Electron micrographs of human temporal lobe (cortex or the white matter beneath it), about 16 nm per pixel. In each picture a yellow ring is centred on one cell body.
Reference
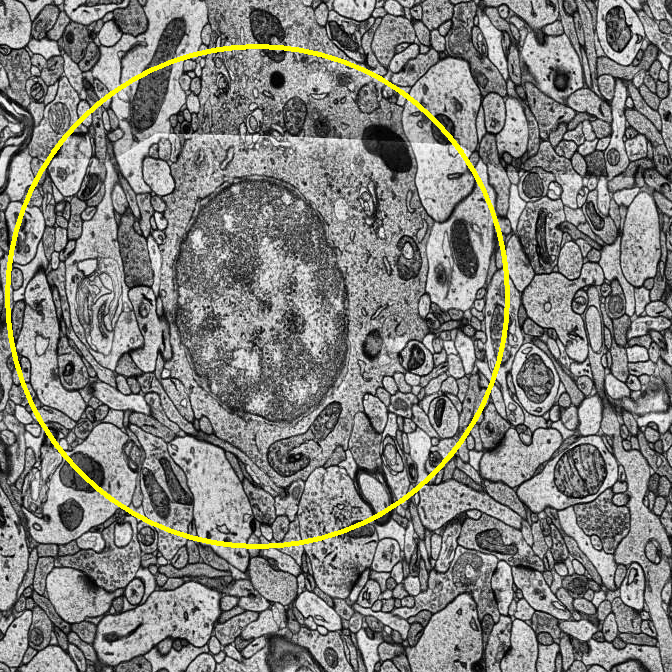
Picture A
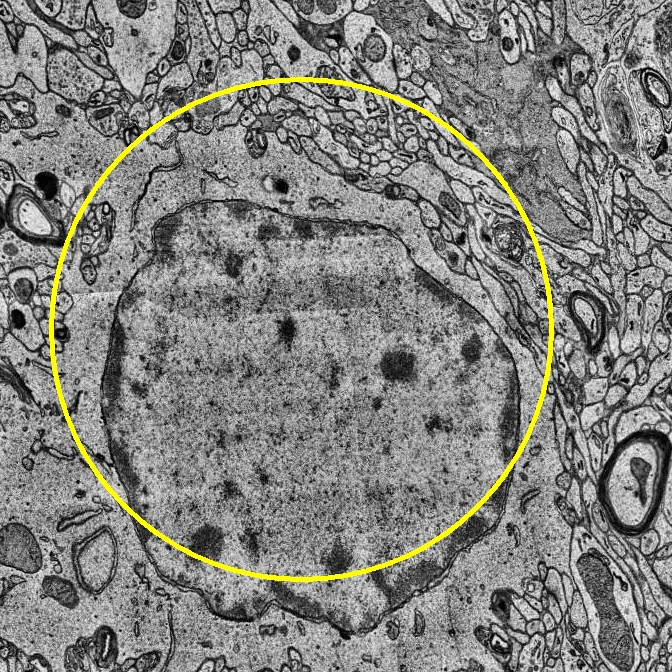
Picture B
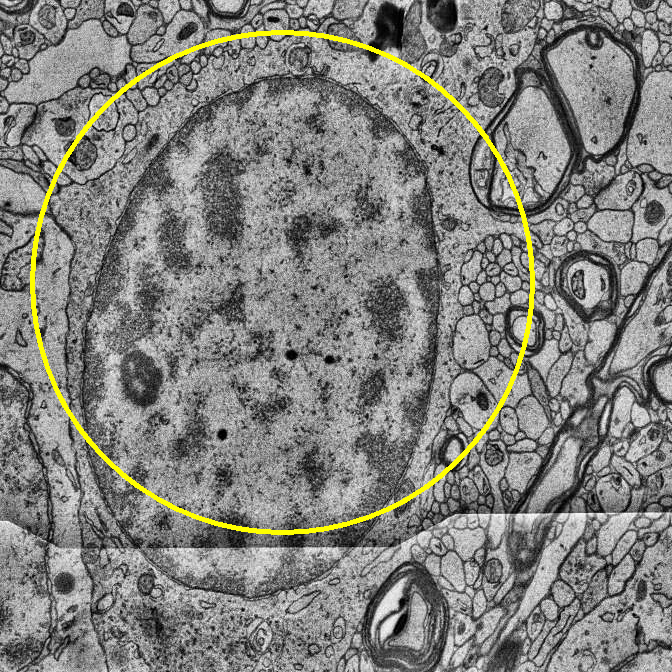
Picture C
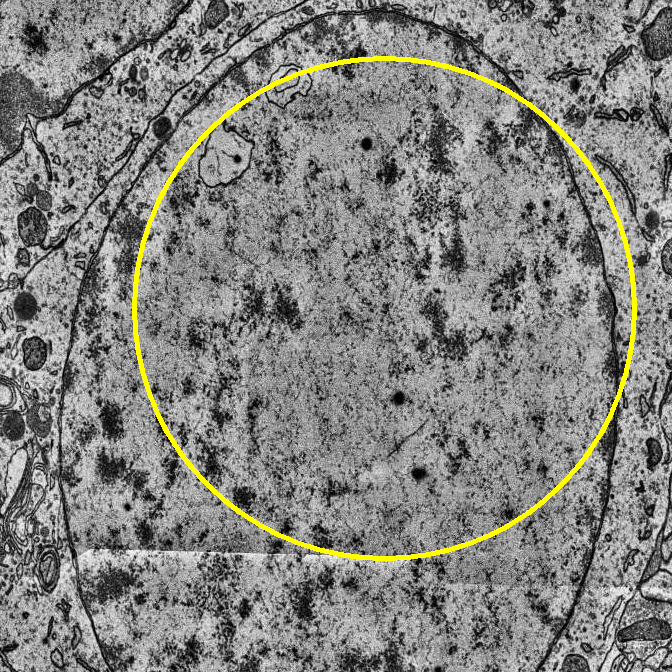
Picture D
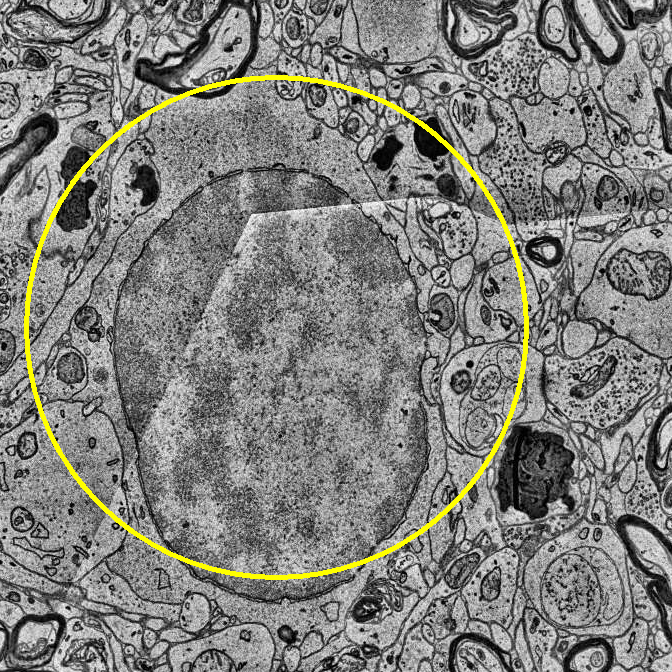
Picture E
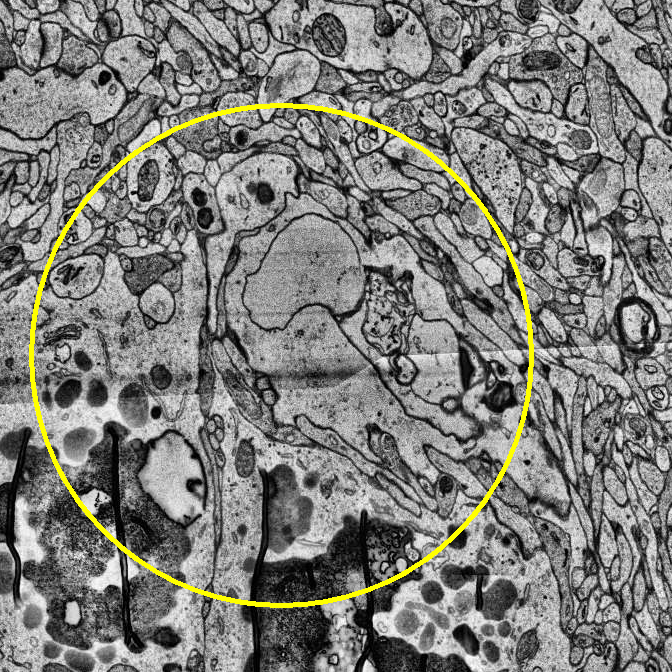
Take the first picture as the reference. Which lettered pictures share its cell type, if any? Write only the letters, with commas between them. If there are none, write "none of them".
B, D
